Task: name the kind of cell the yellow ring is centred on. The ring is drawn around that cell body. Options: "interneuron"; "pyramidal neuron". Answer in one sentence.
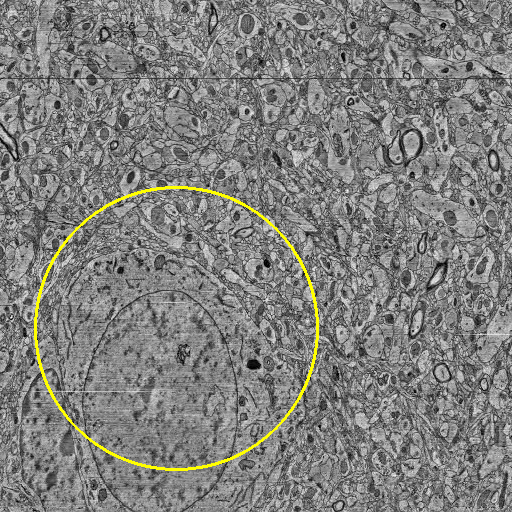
This cell body belongs to a pyramidal neuron.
